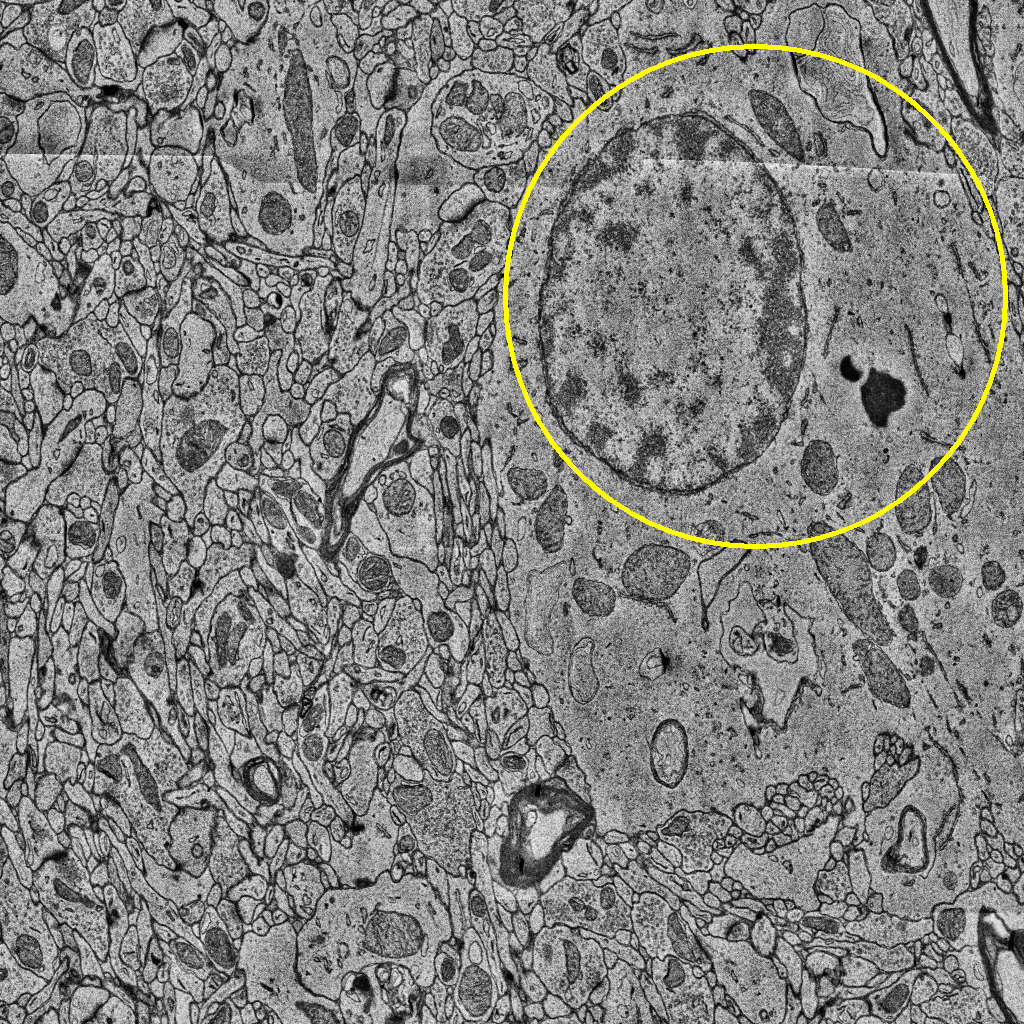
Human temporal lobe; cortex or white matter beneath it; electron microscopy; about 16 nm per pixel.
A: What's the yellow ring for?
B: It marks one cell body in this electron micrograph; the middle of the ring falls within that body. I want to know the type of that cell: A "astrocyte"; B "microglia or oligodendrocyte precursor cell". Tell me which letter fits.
A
